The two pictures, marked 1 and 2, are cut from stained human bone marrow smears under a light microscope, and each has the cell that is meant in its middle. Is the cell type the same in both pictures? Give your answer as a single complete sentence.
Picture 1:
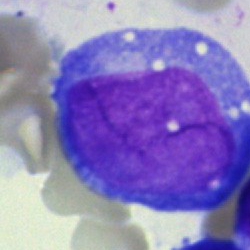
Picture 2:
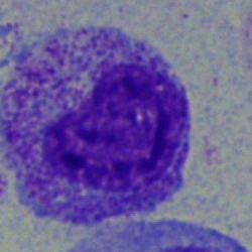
No, they differ: the cell is a blast in picture 1 and a myelocyte in picture 2.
